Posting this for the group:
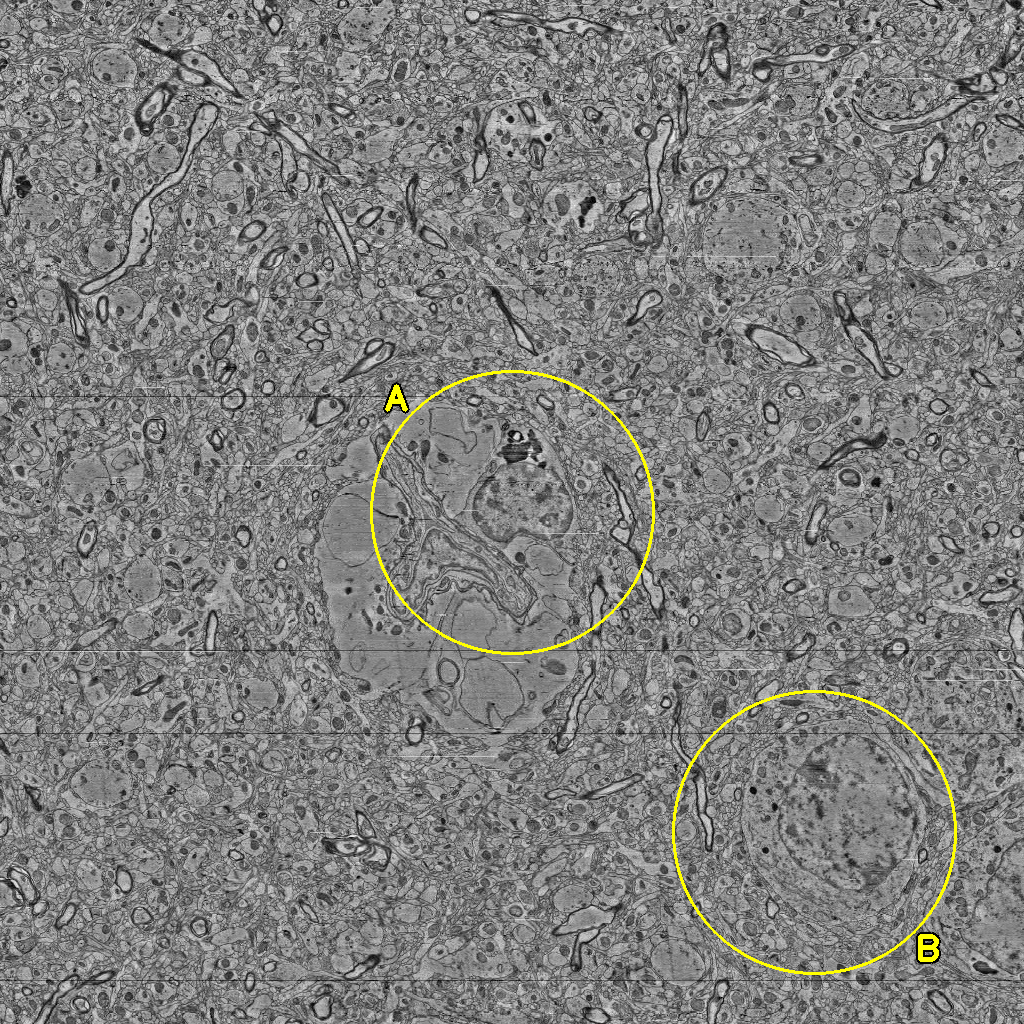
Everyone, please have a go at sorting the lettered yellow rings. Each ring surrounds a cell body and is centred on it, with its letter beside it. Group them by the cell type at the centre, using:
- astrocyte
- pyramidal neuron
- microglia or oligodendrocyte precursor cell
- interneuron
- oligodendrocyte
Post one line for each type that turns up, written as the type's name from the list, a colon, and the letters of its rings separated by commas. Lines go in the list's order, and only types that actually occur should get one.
interneuron: B
oligodendrocyte: A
